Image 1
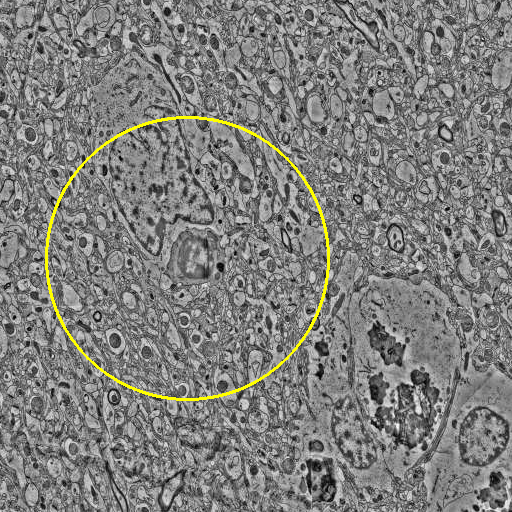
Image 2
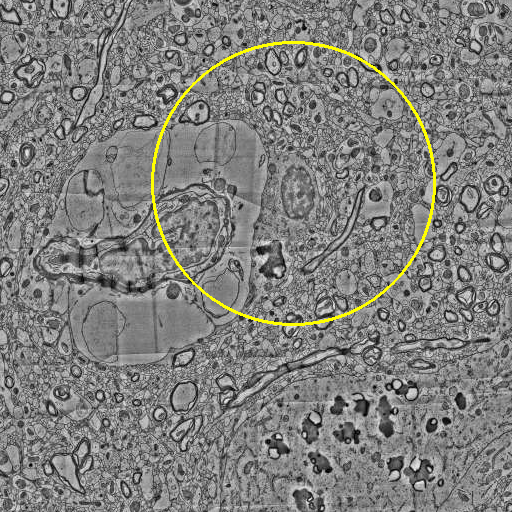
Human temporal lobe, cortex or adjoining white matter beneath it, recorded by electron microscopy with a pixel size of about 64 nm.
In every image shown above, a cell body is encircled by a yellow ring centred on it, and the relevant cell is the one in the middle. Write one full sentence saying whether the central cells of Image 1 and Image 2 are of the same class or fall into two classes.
The cell at the ring's centre in Image 1 and its counterpart in Image 2 are of the same class.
